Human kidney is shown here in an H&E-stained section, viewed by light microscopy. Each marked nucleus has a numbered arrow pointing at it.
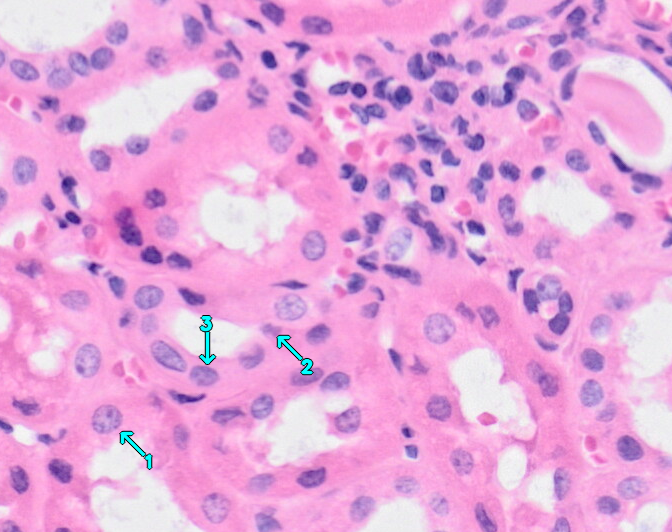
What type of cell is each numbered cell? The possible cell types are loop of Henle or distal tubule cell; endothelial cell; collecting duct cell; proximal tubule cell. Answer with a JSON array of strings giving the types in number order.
["proximal tubule cell", "collecting duct cell", "collecting duct cell"]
